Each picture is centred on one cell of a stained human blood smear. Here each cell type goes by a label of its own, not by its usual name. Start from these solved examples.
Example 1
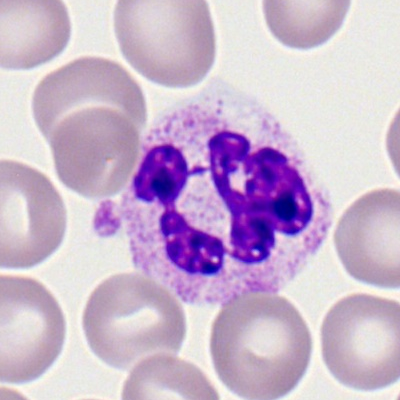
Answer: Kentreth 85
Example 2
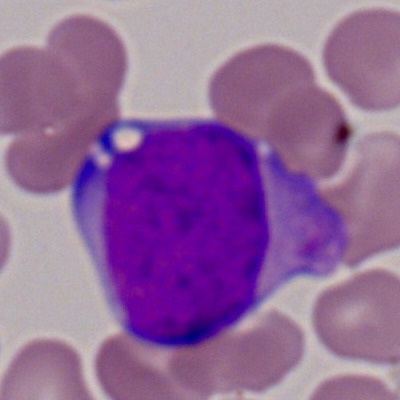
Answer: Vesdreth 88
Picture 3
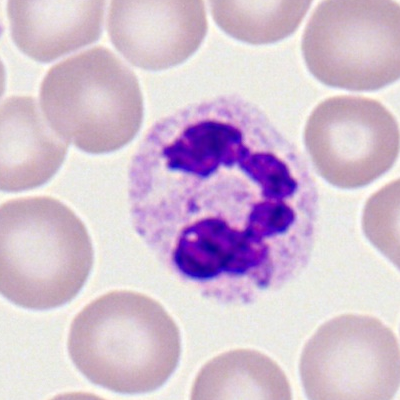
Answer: Kentreth 85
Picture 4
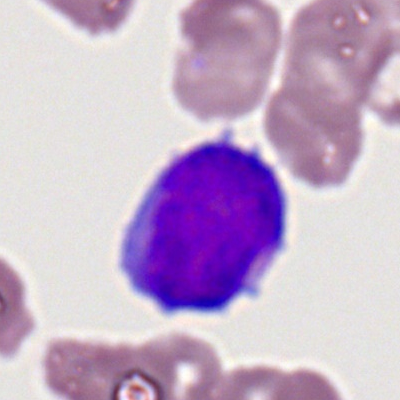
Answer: Vesdreth 88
